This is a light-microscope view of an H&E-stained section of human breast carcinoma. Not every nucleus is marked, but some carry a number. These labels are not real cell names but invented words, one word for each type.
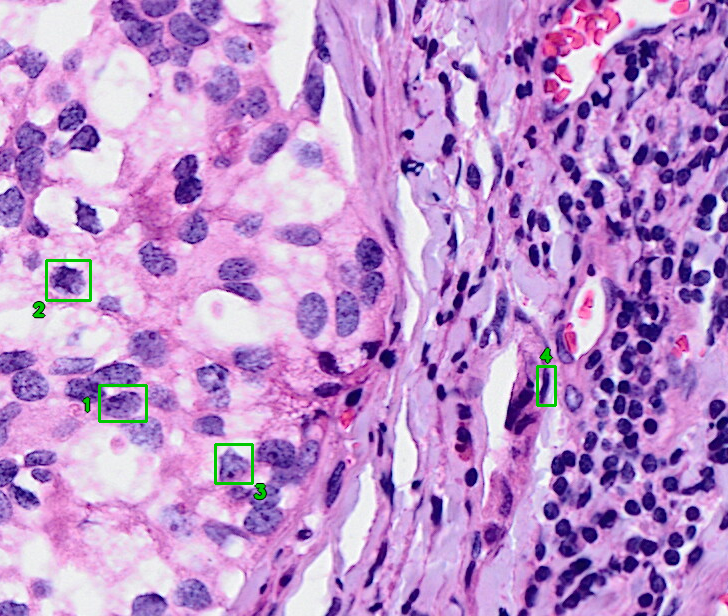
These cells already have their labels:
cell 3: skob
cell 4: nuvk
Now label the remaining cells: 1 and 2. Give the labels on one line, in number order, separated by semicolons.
skob; skob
